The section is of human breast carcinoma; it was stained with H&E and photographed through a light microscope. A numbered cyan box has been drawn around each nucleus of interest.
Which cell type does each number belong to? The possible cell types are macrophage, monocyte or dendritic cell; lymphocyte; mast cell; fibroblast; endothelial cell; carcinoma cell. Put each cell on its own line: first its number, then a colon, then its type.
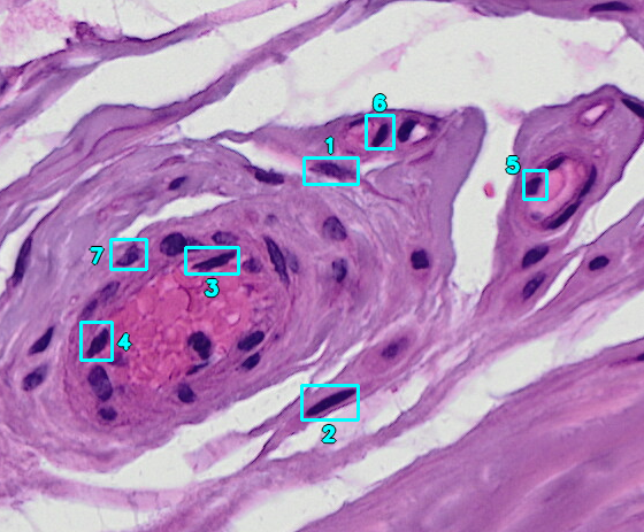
1: fibroblast
2: fibroblast
3: endothelial cell
4: endothelial cell
5: endothelial cell
6: endothelial cell
7: fibroblast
